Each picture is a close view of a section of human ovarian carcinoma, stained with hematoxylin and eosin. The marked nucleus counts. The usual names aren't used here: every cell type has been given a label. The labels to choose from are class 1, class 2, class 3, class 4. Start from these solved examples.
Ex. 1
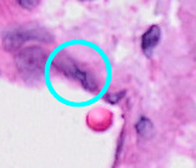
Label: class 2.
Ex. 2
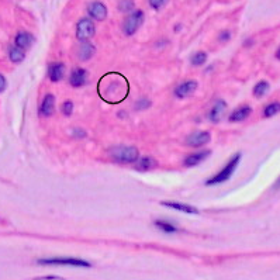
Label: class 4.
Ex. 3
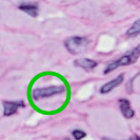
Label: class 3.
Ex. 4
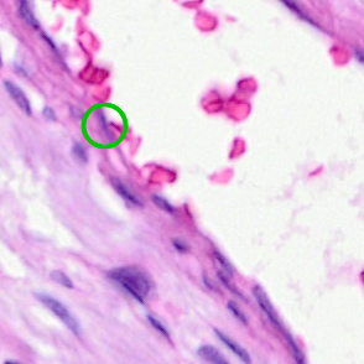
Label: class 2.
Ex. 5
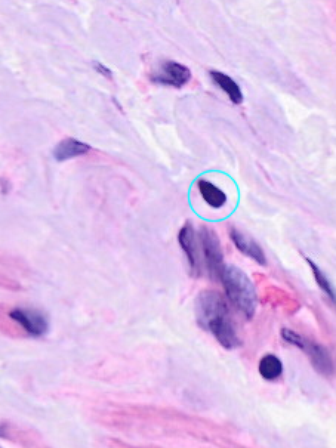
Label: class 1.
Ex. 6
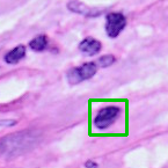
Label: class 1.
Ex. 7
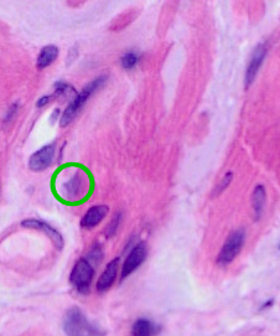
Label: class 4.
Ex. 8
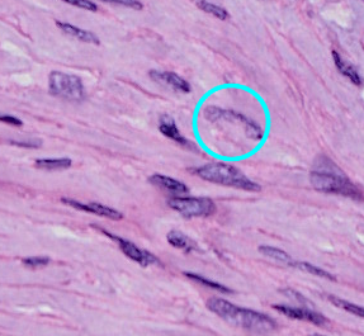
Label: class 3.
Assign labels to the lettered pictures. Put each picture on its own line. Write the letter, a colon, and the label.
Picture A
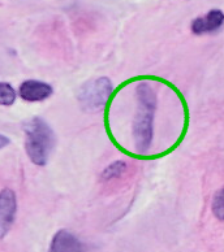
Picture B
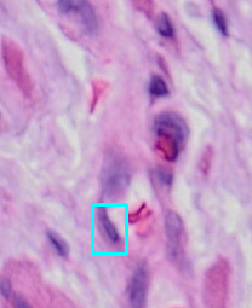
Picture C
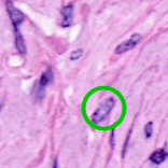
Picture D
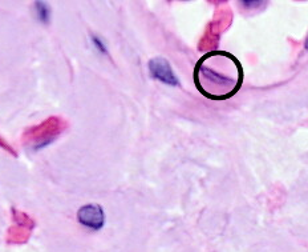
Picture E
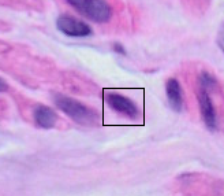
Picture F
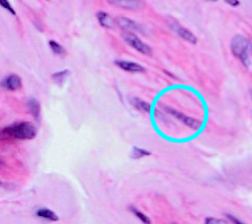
A: class 3.
B: class 2.
C: class 3.
D: class 2.
E: class 4.
F: class 4.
